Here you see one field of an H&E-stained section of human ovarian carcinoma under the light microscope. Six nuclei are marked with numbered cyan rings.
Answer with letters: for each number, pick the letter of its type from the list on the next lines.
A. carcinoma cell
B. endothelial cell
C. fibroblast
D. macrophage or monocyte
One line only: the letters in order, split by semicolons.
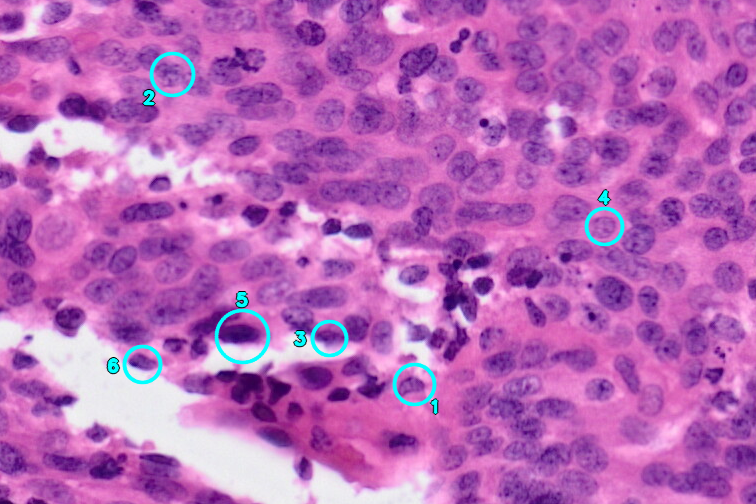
D; A; A; A; A; D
